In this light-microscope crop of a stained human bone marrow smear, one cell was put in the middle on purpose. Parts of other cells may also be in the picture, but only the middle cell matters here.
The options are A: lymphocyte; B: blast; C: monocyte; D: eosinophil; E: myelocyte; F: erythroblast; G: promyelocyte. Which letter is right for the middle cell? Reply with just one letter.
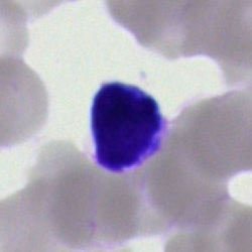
A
